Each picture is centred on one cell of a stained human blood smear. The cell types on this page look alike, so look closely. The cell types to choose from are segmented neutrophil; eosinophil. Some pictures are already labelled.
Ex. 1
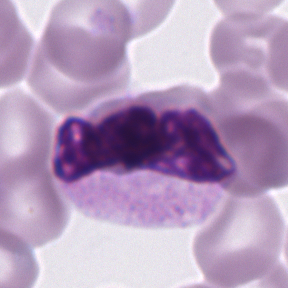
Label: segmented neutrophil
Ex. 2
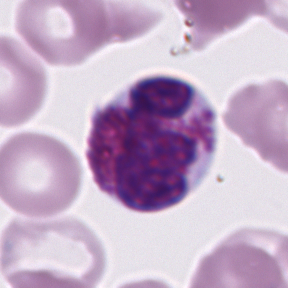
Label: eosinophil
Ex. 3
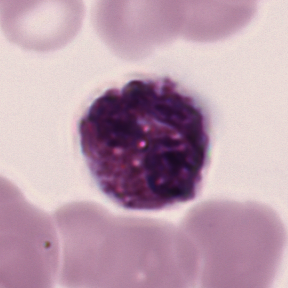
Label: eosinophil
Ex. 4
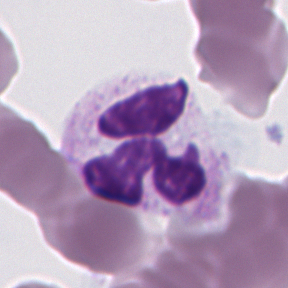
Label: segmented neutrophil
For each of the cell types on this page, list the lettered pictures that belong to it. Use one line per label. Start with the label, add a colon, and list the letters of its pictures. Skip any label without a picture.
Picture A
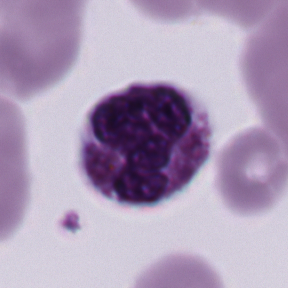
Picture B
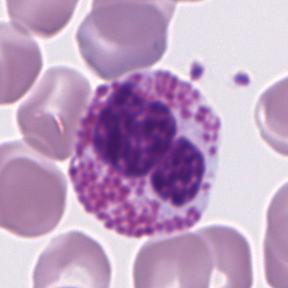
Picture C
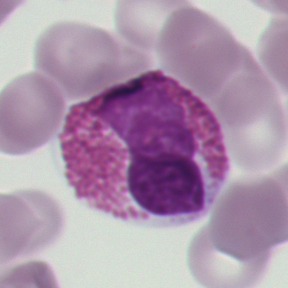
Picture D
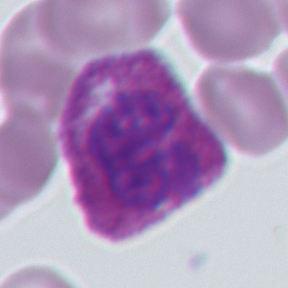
eosinophil: A, B, C, D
